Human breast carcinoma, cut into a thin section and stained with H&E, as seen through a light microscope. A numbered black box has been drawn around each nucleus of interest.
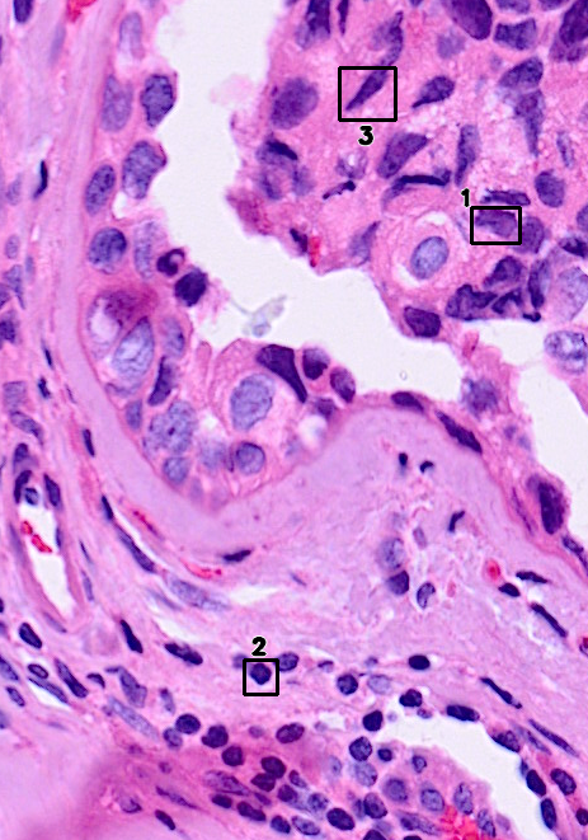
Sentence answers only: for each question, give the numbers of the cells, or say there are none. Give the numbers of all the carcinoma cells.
The cells that have been numbered 1 and 3 are carcinoma cells.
